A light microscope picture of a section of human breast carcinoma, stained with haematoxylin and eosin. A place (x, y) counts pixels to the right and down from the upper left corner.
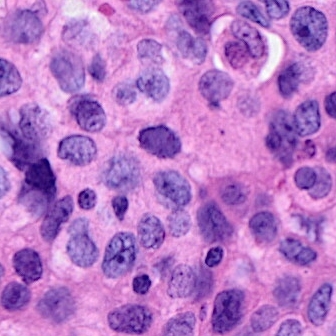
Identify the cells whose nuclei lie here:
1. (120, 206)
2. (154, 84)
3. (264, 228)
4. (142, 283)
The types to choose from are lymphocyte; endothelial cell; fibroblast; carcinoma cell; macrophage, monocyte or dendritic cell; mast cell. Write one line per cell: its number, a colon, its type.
1: lymphocyte
2: carcinoma cell
3: carcinoma cell
4: lymphocyte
